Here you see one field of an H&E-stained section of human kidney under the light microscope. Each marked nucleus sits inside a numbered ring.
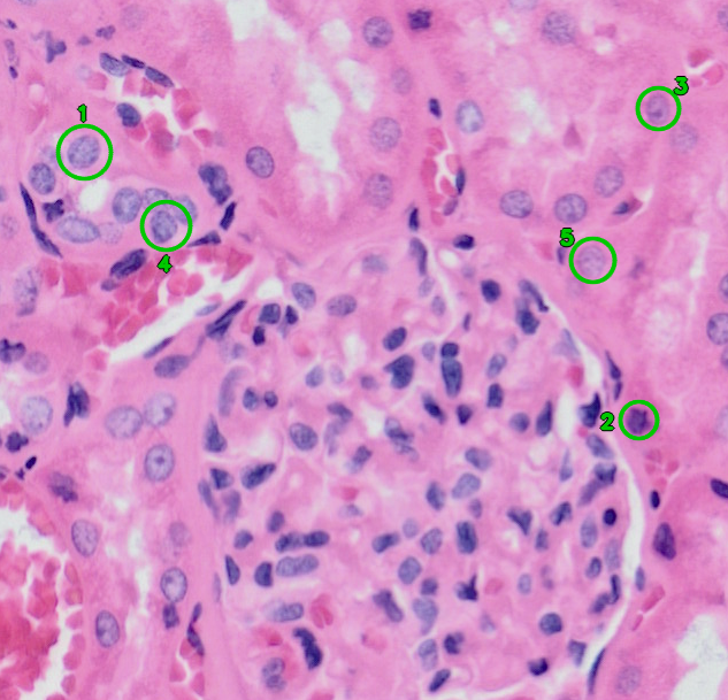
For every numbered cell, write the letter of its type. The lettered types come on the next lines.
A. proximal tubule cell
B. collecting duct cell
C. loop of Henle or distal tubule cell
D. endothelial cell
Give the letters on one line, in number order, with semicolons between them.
B; A; A; B; A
